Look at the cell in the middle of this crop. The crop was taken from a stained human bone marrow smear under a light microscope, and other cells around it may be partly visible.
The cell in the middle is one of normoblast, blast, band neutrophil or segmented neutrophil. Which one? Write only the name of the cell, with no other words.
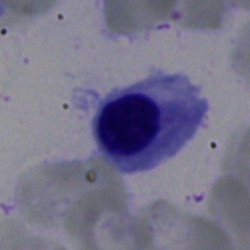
normoblast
